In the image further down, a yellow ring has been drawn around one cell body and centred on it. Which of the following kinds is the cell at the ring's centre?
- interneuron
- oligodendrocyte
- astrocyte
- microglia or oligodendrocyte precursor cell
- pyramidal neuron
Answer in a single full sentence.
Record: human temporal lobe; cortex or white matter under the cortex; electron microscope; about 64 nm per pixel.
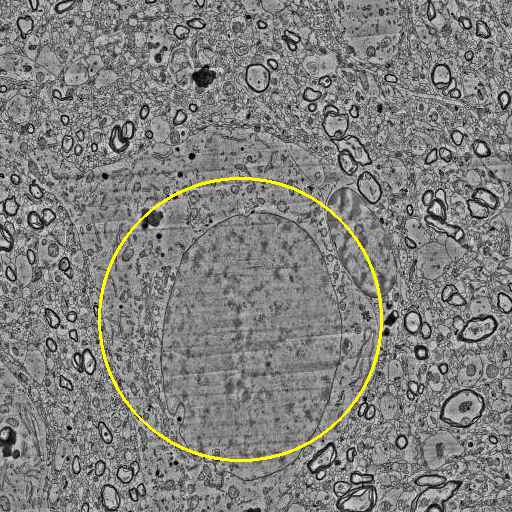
In the picture, the cell sitting at the centre of the yellow ring is a pyramidal neuron.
